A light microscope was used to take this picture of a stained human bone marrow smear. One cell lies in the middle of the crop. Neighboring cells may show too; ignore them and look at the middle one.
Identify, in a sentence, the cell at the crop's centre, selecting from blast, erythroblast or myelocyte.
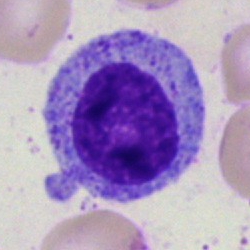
In the centre of this crop there is a myelocyte.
